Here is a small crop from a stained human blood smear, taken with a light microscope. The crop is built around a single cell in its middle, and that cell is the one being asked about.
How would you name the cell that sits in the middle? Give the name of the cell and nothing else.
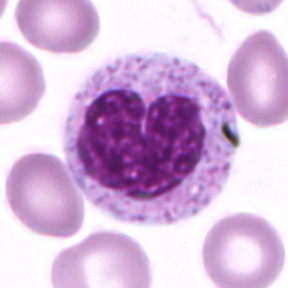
band neutrophil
